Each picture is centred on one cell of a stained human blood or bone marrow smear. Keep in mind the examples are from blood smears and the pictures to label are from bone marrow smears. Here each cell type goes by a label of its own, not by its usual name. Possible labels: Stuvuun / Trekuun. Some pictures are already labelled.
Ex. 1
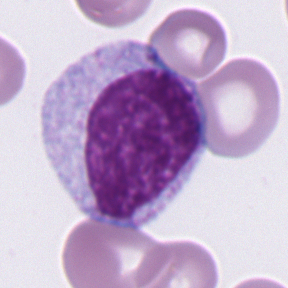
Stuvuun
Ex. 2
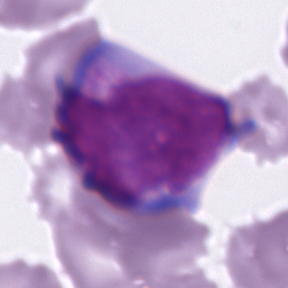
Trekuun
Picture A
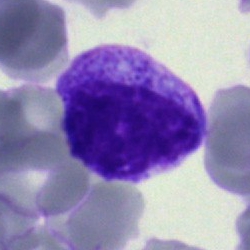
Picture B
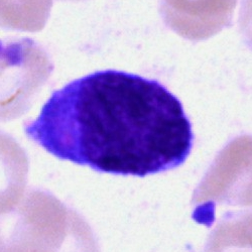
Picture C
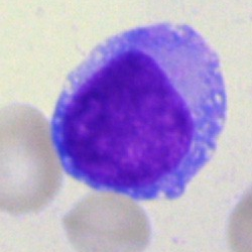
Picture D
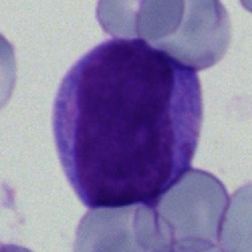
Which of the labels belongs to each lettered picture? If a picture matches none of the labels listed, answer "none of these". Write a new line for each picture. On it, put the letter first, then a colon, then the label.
A: Stuvuun
B: Trekuun
C: Trekuun
D: Trekuun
